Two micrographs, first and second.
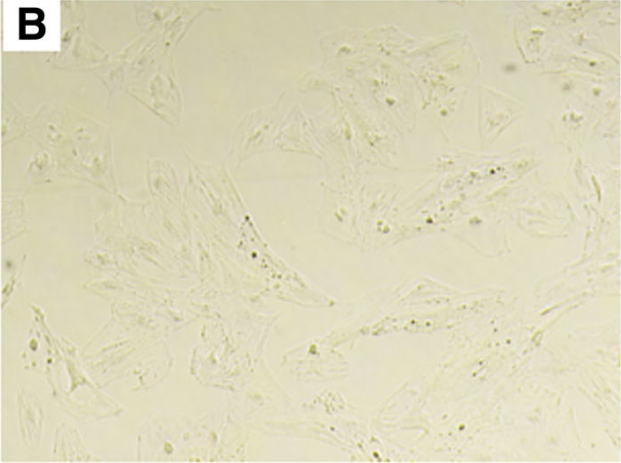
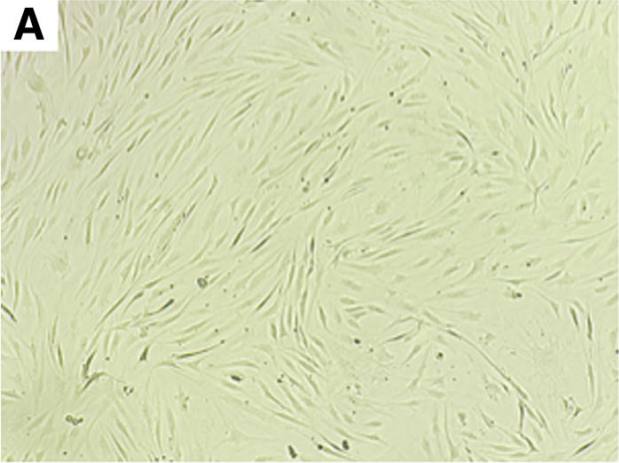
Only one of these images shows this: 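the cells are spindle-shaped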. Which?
The second image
